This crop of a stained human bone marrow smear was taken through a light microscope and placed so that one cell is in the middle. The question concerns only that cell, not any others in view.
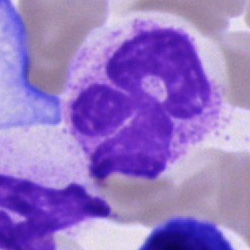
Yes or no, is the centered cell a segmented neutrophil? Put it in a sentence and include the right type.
Yes, the cell of interest in the middle is a segmented neutrophil.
